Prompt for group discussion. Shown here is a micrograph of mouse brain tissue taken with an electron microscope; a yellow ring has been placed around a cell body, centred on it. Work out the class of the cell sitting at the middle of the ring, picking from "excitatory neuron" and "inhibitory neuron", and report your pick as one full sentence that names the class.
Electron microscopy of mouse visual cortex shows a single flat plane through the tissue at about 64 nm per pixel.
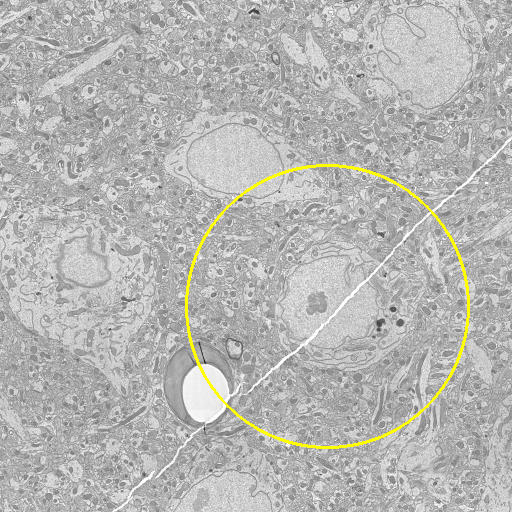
The cell sitting at the middle of the yellow ring is an inhibitory neuron.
